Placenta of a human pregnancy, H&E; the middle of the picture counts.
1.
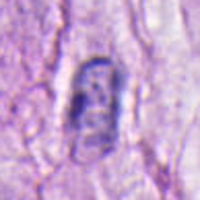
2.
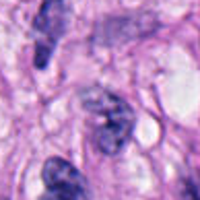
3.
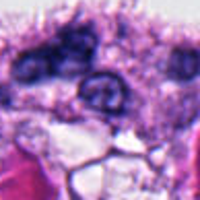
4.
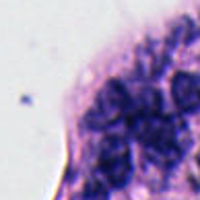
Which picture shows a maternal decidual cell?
Picture 1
